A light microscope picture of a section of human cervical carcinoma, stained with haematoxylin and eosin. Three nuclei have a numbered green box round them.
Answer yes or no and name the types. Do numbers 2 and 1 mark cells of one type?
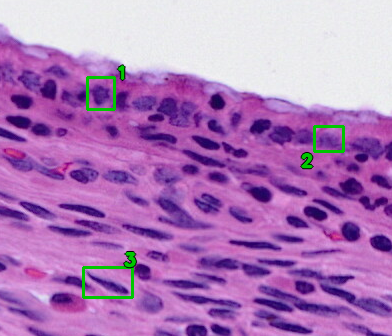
Yes, both are secretory epithelial cells.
